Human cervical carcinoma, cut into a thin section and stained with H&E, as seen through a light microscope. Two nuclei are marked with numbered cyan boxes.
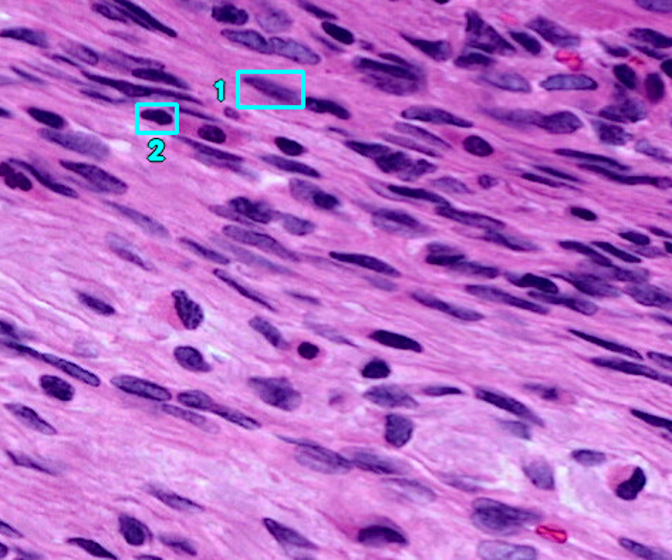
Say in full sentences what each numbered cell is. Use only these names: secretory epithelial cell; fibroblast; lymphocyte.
Cell 1 is a fibroblast. Cell 2 is a lymphocyte.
